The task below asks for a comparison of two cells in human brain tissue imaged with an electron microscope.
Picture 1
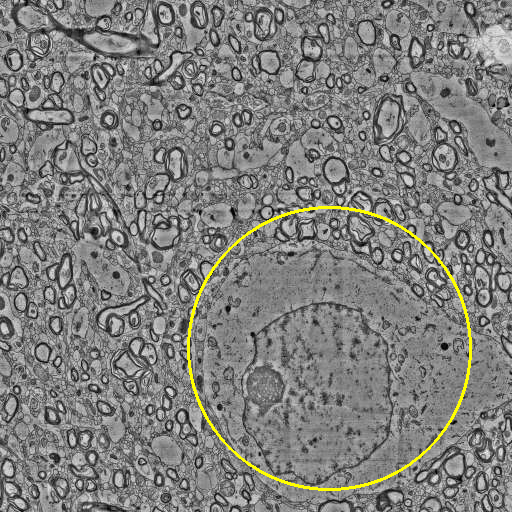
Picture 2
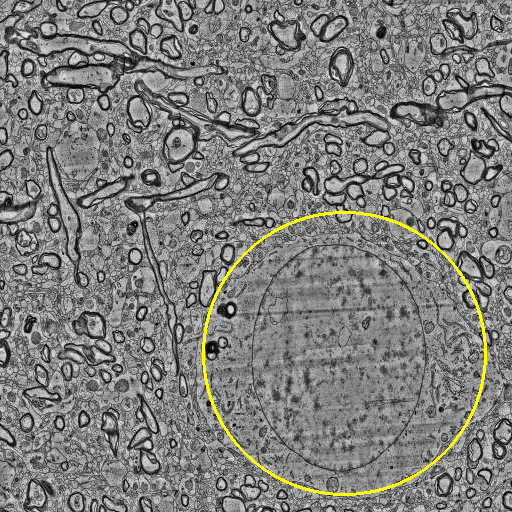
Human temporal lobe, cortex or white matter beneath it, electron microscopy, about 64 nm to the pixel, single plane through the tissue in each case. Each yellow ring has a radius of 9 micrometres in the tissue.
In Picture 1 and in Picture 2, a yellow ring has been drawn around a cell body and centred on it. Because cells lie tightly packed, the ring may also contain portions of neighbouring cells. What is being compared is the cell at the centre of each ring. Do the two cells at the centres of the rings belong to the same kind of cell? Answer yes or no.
yes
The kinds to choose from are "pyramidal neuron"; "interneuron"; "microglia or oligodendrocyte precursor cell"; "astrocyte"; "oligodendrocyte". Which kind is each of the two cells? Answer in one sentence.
The second cell is a pyramidal neuron, just as the first is.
